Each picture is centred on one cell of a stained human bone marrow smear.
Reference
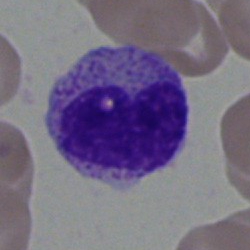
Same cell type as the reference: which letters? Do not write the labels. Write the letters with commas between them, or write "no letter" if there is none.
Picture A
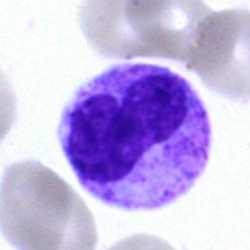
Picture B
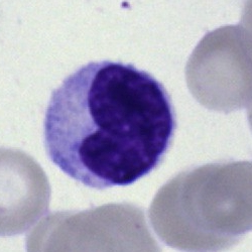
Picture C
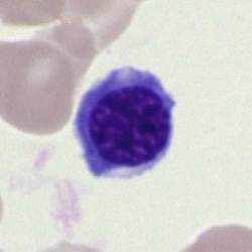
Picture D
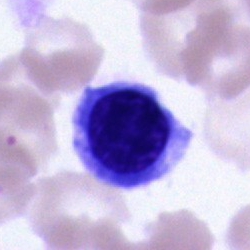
A, B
